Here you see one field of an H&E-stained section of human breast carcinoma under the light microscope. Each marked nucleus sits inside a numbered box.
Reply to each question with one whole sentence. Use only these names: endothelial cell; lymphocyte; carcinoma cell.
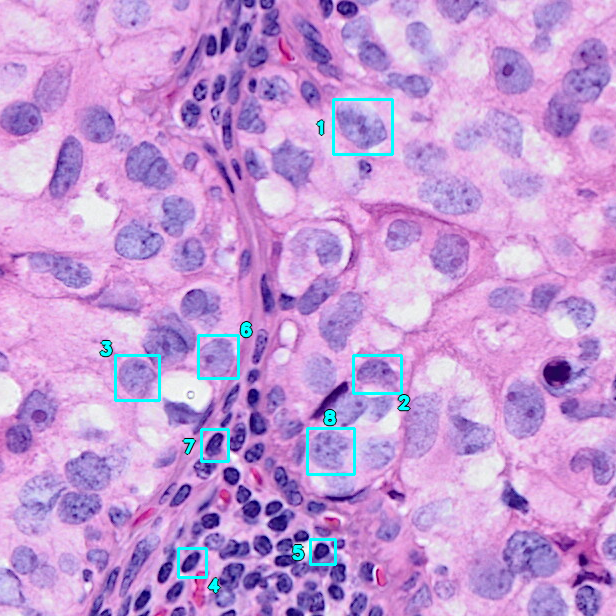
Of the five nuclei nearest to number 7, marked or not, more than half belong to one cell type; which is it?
The majority of the five nuclei closest to number 7 belong to lymphocytes.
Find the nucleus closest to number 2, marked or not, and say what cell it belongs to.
The nearest nucleus to number 2 belongs to a carcinoma cell.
